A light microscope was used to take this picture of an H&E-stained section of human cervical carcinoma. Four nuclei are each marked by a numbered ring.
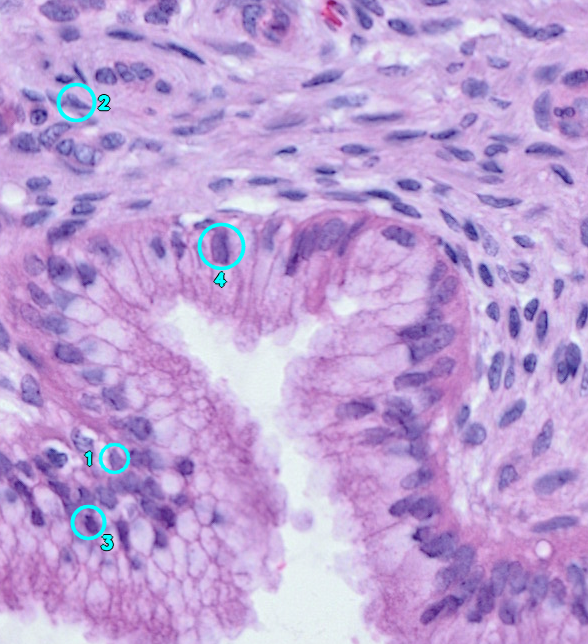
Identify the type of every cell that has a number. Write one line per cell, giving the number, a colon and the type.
1: secretory epithelial cell
2: fibroblast
3: secretory epithelial cell
4: secretory epithelial cell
